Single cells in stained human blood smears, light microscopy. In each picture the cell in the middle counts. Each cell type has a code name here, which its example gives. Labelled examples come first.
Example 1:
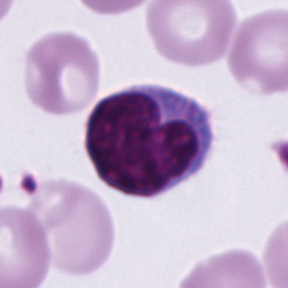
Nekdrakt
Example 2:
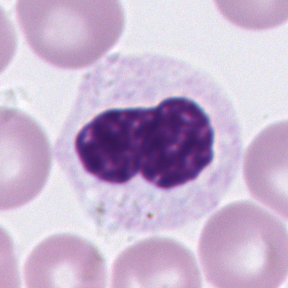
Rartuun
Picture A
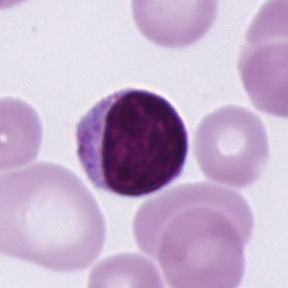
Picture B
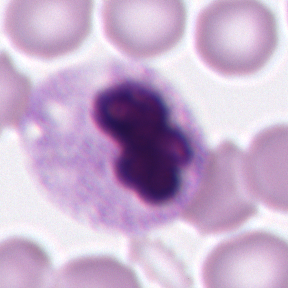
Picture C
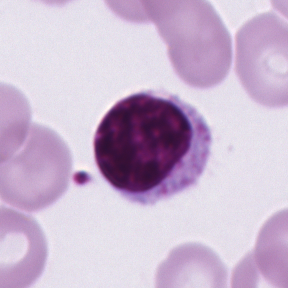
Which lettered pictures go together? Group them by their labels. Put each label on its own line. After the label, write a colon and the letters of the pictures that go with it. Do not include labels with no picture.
Nekdrakt: A, C
Rartuun: B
